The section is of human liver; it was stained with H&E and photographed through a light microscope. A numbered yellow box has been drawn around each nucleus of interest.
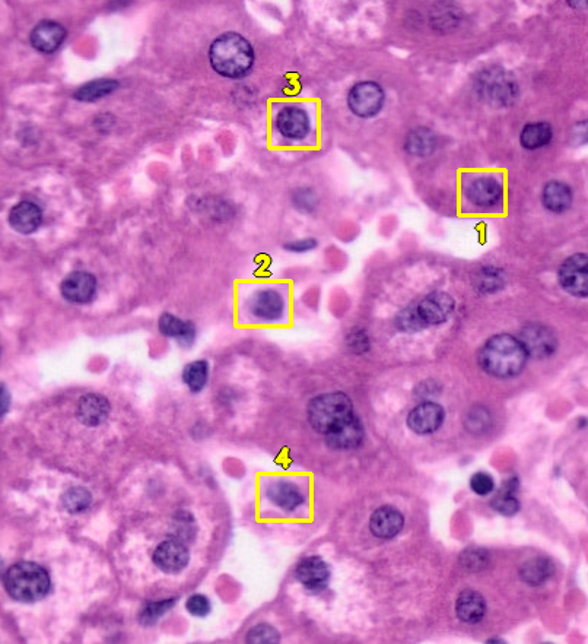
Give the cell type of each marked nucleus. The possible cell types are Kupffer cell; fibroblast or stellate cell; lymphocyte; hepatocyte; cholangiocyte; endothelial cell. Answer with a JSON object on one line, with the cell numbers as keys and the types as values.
{"1": "hepatocyte", "2": "Kupffer cell", "3": "hepatocyte", "4": "Kupffer cell"}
